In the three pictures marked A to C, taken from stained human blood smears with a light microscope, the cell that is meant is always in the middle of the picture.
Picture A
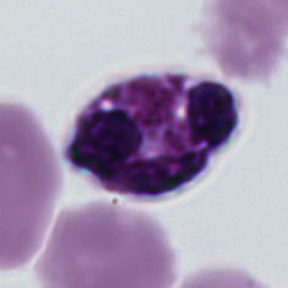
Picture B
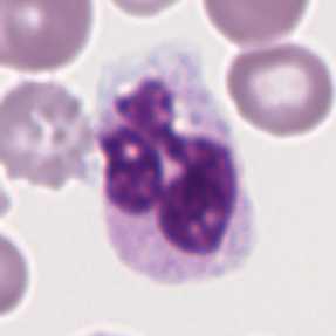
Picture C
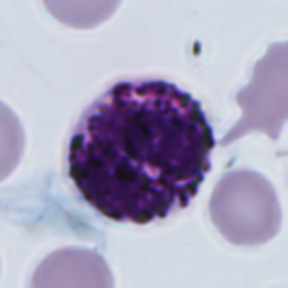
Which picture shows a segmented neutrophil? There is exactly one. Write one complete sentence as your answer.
Picture B shows the segmented neutrophil.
